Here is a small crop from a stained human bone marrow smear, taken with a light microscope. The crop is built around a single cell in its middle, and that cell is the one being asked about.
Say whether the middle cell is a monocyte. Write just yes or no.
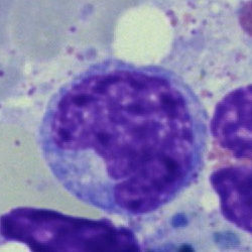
yes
